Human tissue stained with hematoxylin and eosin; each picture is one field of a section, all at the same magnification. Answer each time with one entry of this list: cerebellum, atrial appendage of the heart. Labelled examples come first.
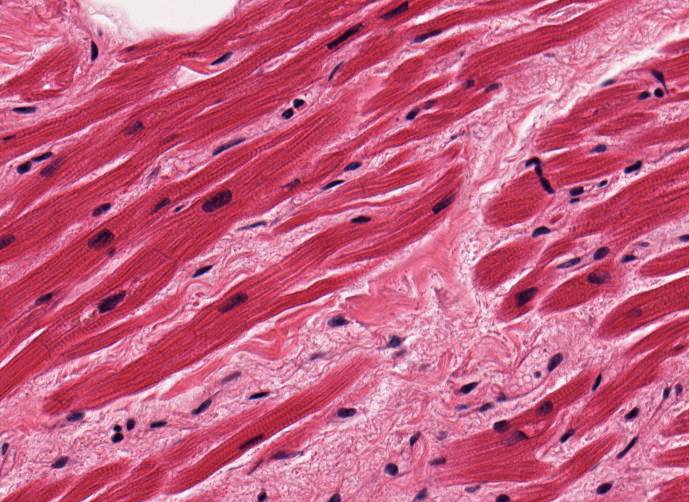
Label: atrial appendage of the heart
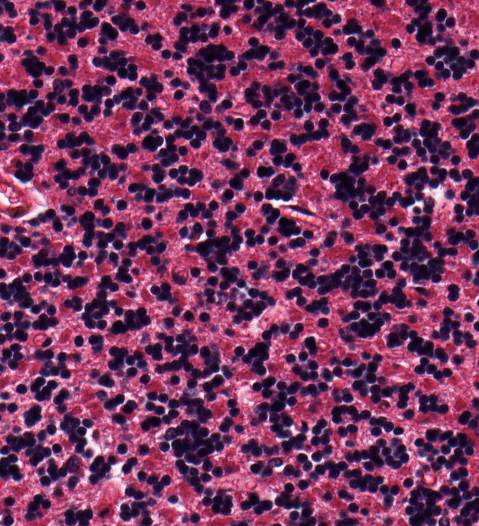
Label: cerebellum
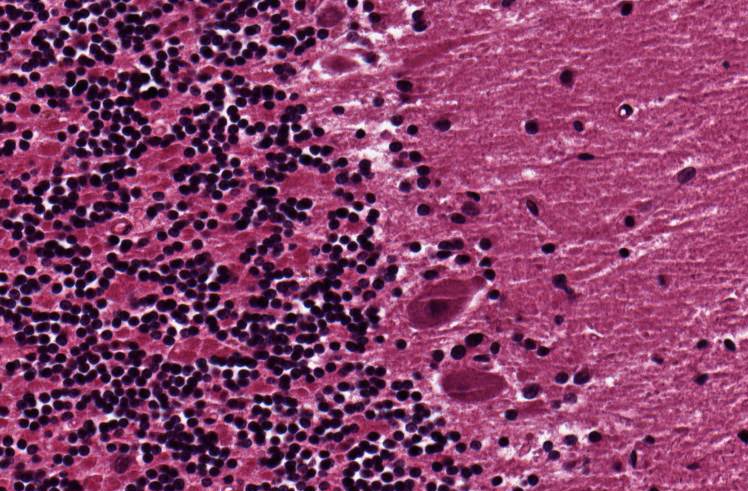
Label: cerebellum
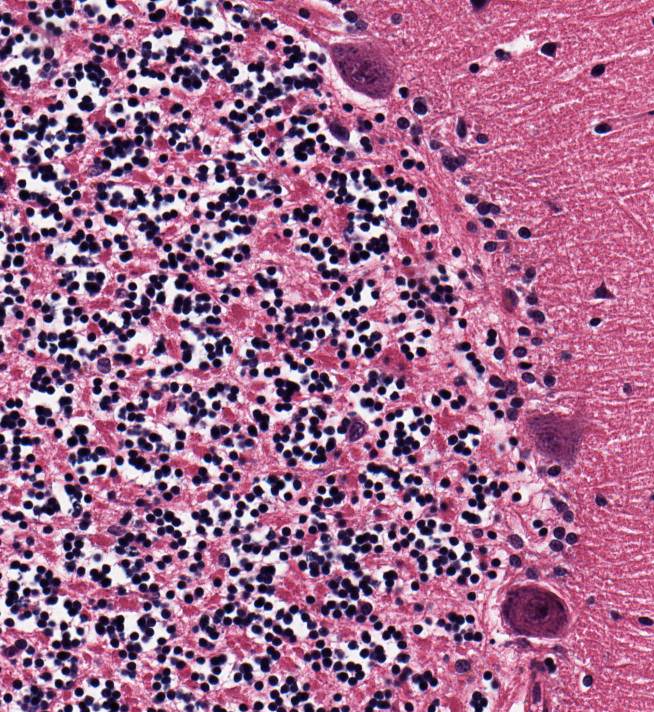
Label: cerebellum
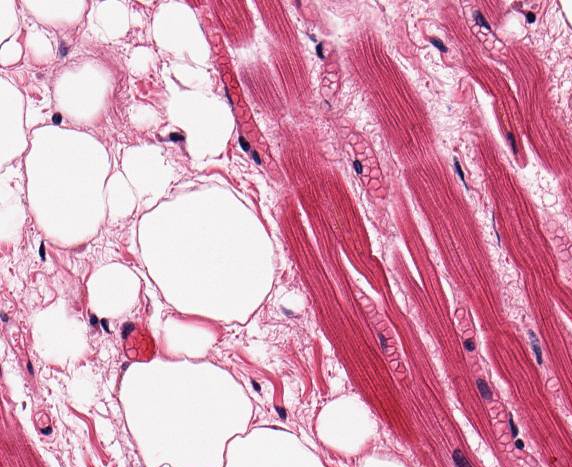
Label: atrial appendage of the heart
